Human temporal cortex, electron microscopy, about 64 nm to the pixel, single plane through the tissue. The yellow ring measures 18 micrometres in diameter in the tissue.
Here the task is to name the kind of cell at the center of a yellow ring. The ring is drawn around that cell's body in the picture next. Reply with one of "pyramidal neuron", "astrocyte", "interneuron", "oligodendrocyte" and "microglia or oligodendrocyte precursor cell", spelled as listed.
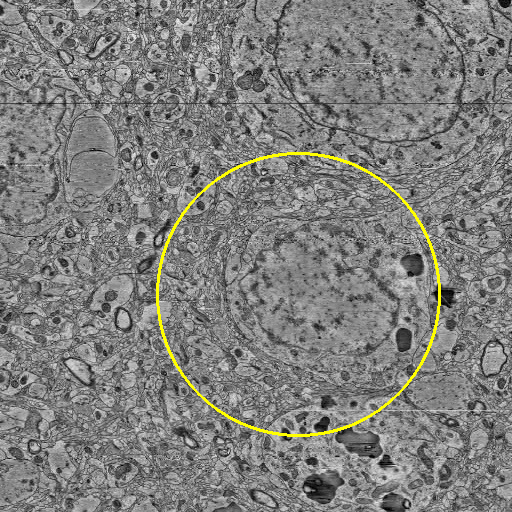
interneuron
